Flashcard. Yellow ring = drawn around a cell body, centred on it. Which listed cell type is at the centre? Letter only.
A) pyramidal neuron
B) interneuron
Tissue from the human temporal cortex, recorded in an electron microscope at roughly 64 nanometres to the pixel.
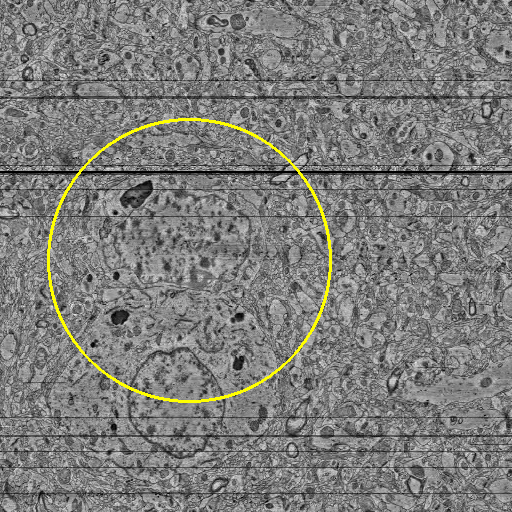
B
